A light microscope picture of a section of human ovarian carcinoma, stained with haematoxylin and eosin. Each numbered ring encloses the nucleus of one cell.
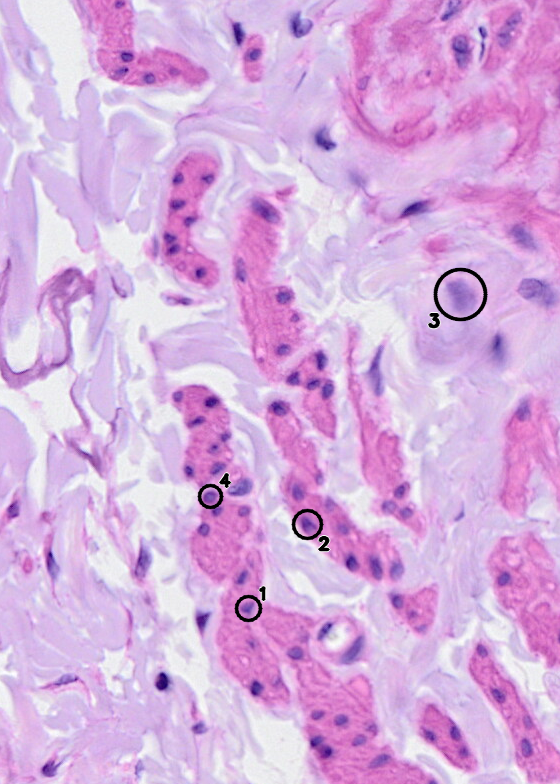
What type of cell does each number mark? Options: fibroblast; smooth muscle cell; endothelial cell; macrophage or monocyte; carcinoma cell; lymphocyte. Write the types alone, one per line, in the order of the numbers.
smooth muscle cell
smooth muscle cell
fibroblast
smooth muscle cell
